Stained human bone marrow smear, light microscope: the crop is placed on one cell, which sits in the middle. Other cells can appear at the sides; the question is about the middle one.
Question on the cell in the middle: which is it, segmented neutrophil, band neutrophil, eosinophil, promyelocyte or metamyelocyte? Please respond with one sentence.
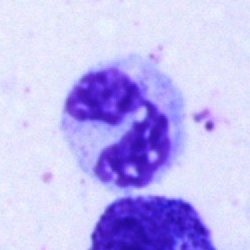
The cell the crop is centered on is a segmented neutrophil.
